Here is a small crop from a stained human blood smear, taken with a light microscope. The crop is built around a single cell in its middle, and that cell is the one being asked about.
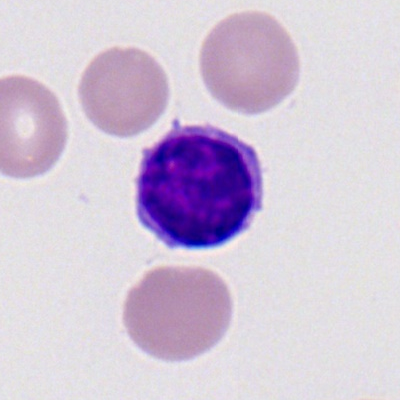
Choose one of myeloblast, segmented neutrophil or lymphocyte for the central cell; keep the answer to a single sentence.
Centrally within this crop lies a lymphocyte.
